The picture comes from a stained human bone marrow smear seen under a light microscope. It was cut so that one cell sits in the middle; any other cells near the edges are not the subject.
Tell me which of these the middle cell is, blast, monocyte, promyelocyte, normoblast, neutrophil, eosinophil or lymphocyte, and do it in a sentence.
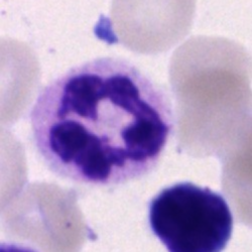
This crop is built around a neutrophil at its centre.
